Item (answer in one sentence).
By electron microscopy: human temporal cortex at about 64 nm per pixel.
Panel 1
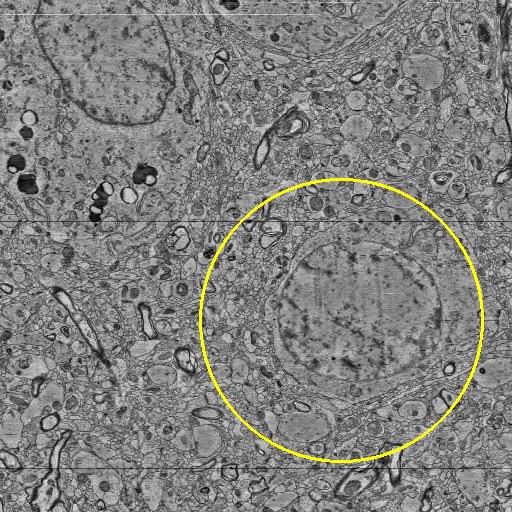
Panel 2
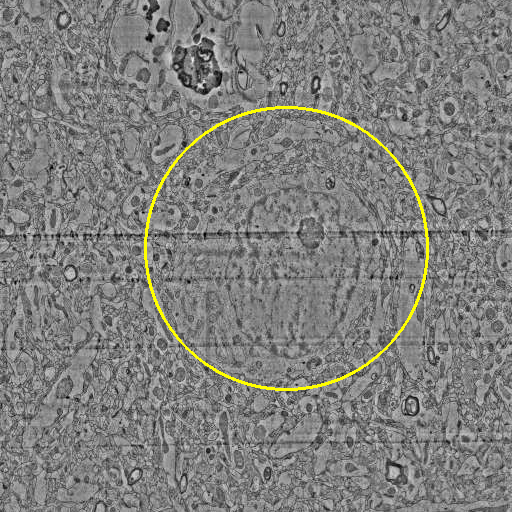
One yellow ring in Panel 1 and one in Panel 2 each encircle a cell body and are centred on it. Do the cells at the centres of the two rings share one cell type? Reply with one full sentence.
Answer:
Yes, Panel 1 and Panel 2 show cells of one type at the centres of their rings.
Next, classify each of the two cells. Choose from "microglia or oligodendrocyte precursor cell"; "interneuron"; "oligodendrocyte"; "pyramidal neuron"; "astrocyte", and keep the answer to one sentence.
Each of the two cells is an interneuron.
